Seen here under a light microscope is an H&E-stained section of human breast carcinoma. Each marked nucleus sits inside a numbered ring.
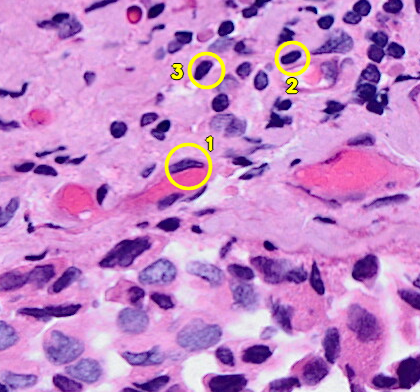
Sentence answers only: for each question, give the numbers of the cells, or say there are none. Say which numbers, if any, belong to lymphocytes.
Cells 2 and 3 are recognised here as lymphocytes.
